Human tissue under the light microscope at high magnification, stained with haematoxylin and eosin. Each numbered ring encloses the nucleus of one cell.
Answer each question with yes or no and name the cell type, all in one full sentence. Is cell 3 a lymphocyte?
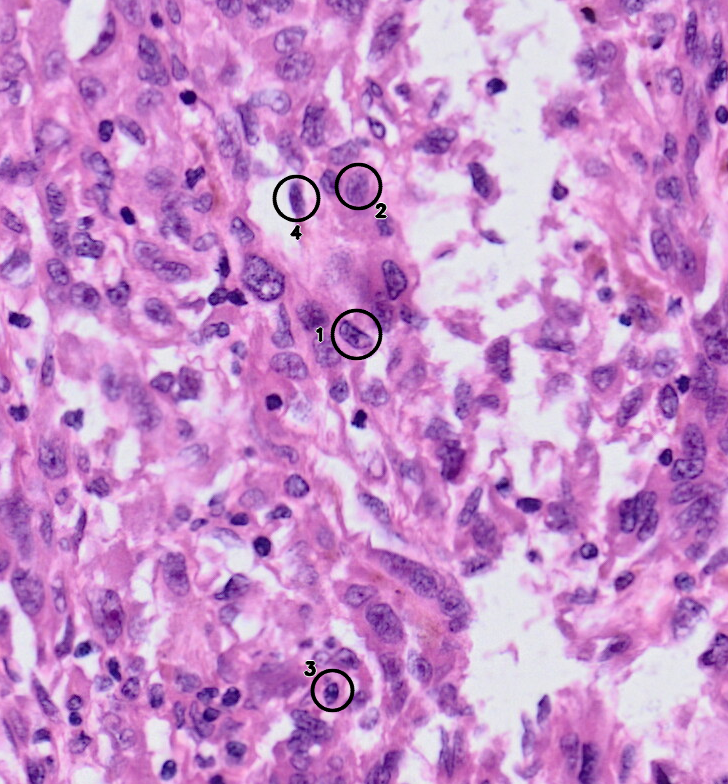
Yes, the cell that goes by number 3 is a lymphocyte.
